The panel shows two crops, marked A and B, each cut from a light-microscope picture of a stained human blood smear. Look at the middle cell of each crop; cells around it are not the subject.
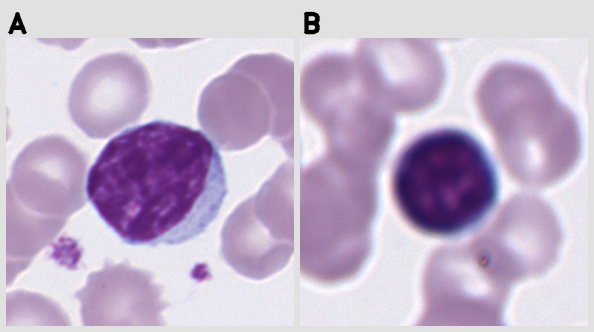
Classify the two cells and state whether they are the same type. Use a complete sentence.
Yes, the cells of interest in both crops are lymphocytes.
